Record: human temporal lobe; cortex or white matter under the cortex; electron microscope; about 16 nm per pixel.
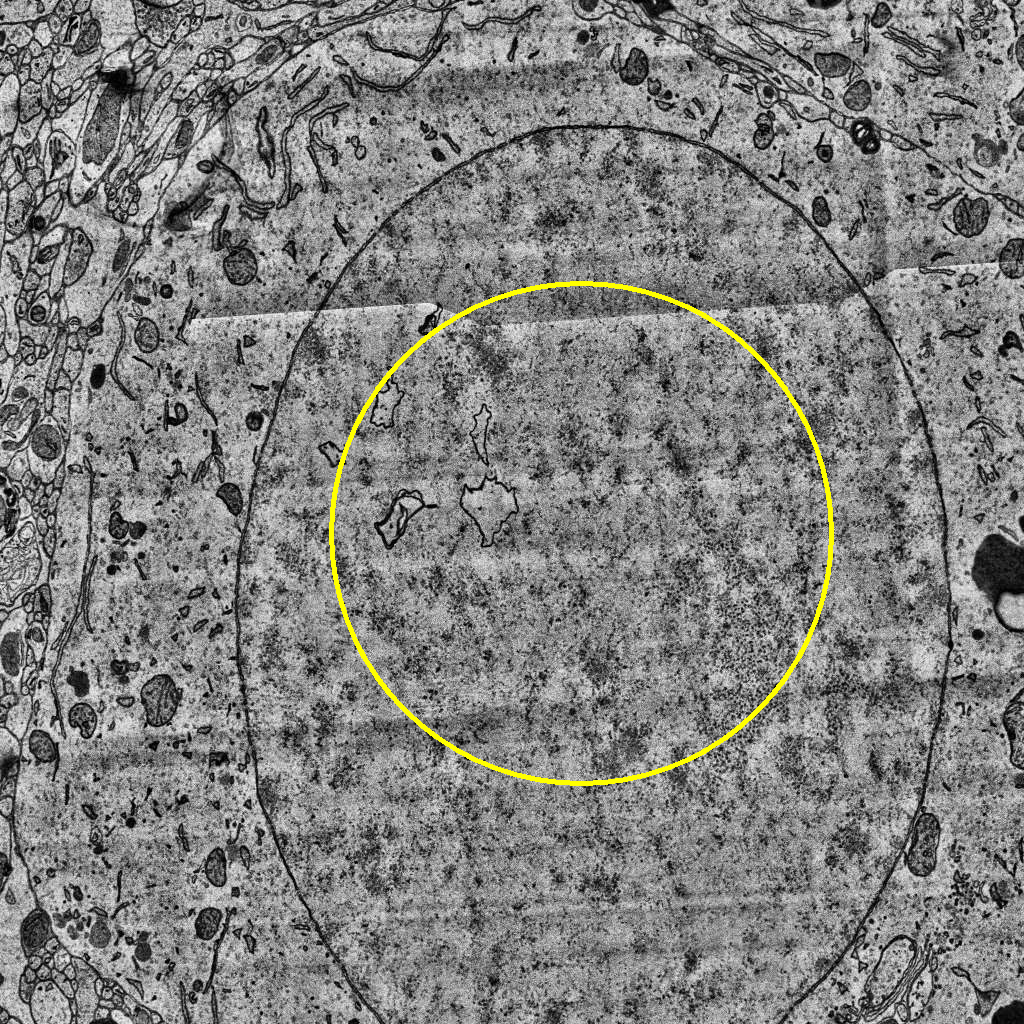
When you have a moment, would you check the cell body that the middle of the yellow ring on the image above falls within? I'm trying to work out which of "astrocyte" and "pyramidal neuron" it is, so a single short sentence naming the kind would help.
This cell body belongs to a pyramidal neuron.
